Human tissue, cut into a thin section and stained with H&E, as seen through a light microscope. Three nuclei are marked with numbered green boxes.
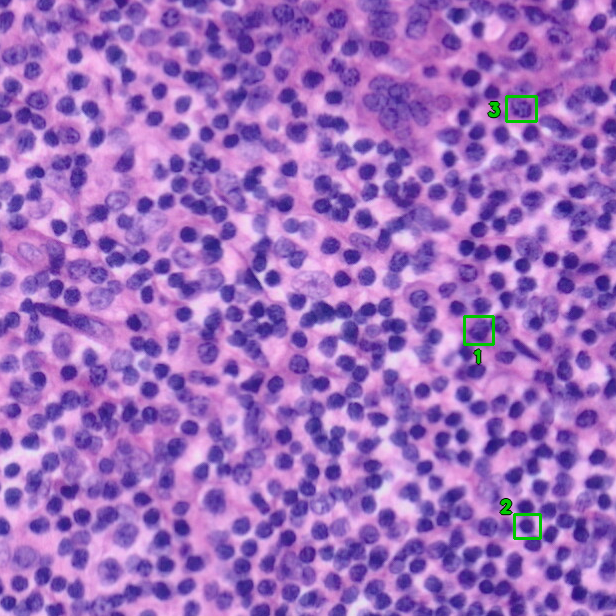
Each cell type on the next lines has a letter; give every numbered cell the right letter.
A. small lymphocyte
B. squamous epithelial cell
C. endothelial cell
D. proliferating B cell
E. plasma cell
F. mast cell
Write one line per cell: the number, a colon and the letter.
1: E
2: A
3: E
